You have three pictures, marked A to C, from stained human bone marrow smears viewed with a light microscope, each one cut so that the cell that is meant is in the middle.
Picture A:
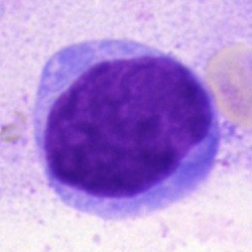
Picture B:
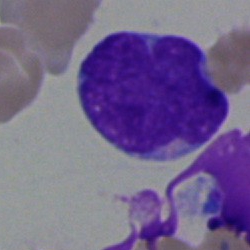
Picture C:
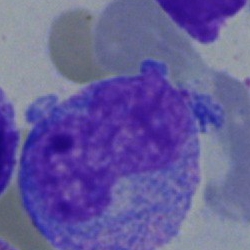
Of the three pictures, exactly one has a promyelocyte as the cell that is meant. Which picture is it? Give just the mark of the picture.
C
